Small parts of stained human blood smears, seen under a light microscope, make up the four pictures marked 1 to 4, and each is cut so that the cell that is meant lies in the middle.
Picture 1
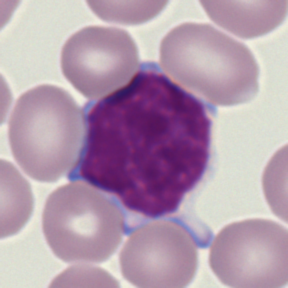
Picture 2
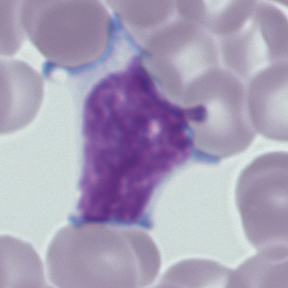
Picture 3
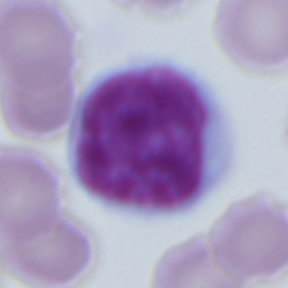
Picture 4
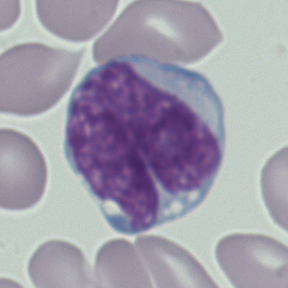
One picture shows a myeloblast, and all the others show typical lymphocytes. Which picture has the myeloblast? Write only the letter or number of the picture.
4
